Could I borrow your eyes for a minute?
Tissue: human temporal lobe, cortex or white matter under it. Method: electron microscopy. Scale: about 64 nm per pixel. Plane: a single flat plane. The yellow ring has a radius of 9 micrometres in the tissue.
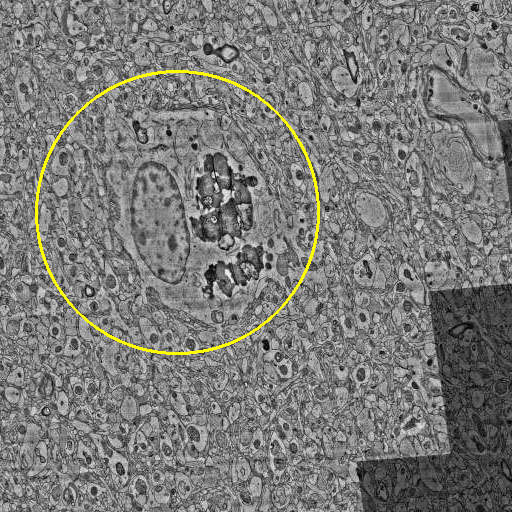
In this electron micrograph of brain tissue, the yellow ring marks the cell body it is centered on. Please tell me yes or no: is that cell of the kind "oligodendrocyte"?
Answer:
no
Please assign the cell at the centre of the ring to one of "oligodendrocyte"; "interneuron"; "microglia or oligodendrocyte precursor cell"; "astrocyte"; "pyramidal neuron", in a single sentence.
The cell enclosed by the ring is an astrocyte.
